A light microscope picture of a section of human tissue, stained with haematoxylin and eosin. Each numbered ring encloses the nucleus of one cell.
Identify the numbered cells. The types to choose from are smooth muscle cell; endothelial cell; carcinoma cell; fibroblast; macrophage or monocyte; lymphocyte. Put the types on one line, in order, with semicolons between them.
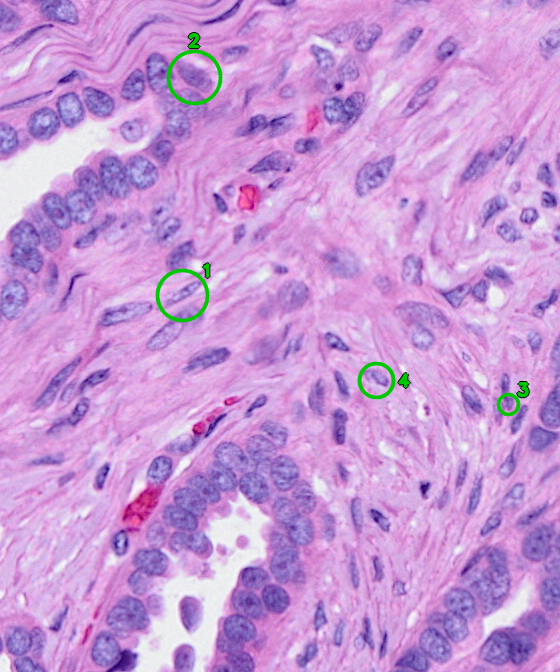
fibroblast; carcinoma cell; fibroblast; fibroblast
